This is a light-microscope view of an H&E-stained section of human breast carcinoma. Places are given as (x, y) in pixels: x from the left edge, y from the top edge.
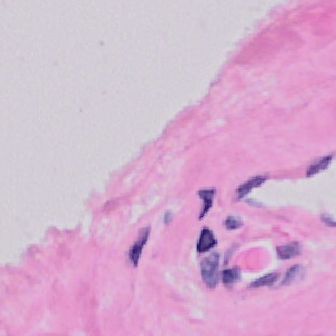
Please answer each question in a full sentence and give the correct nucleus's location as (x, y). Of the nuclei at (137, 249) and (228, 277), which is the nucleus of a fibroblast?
The one at (137, 249) is the nucleus belonging to a fibroblast, not the other one.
